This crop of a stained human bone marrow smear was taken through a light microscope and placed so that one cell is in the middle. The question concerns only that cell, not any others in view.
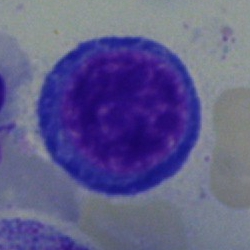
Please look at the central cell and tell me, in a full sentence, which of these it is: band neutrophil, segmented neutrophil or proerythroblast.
Among the cells in view, the one in the middle is a proerythroblast.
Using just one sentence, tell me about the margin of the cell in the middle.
Around its whole circumference the outline stays smooth, free of projections.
